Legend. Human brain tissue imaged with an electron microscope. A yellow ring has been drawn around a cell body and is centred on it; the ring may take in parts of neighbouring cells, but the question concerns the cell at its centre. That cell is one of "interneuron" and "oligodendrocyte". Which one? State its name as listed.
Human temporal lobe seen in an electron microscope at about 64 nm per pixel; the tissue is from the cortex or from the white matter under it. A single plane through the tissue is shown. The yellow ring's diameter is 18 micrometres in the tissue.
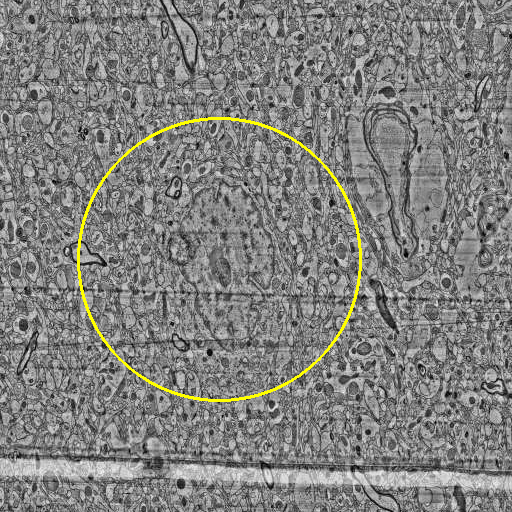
interneuron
